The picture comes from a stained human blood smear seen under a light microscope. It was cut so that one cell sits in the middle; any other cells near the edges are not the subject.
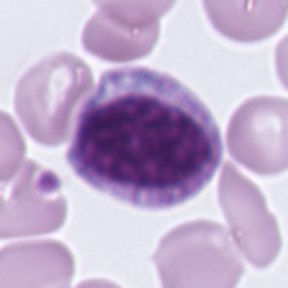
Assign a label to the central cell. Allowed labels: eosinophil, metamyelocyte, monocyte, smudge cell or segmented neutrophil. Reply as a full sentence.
In this crop, the cell at the very middle is a metamyelocyte.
